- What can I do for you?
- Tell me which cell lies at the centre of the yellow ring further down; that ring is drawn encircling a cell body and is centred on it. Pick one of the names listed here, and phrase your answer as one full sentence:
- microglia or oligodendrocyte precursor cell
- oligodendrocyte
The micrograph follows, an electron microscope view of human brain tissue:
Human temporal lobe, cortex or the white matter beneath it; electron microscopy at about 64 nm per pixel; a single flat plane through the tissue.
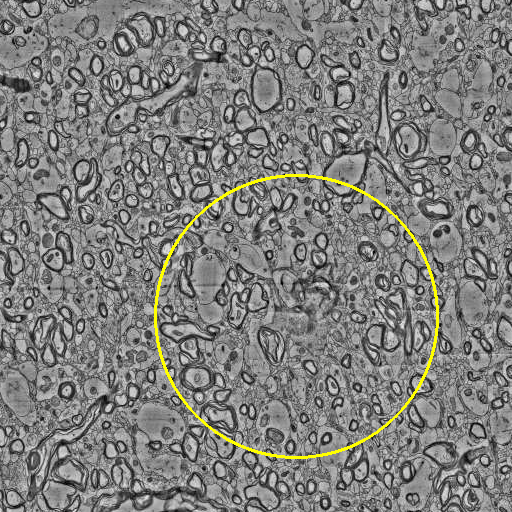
The cell whose body lies at the centre of the yellow ring is an oligodendrocyte.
